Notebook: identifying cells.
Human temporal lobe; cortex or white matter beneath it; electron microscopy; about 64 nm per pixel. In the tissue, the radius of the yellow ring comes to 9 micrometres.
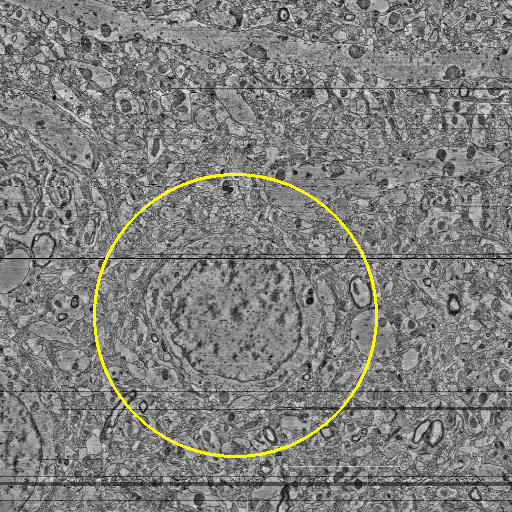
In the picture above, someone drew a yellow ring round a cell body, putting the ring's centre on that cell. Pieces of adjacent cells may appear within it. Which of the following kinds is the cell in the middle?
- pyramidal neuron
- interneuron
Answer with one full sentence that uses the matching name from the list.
In this picture, the yellow ring is centred on the body of a pyramidal neuron.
